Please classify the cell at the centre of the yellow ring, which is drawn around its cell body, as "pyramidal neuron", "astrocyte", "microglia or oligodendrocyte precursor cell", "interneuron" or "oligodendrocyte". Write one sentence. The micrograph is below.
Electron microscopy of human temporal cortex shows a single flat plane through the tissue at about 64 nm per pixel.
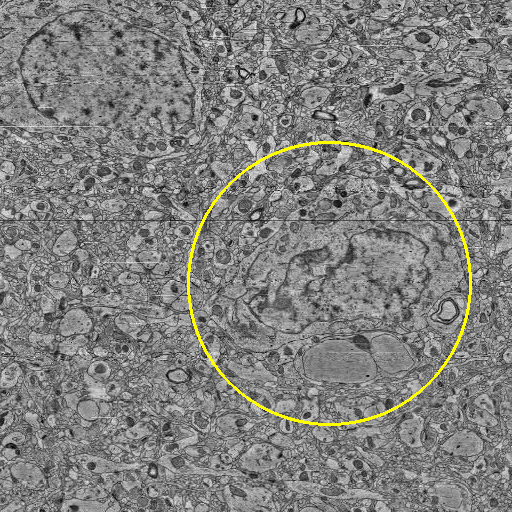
The cell at the ring's centre is classified as an interneuron.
